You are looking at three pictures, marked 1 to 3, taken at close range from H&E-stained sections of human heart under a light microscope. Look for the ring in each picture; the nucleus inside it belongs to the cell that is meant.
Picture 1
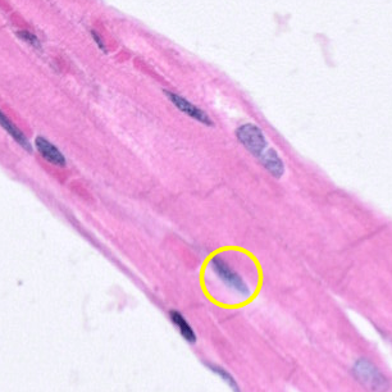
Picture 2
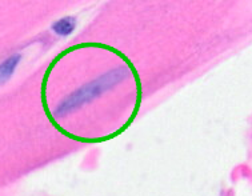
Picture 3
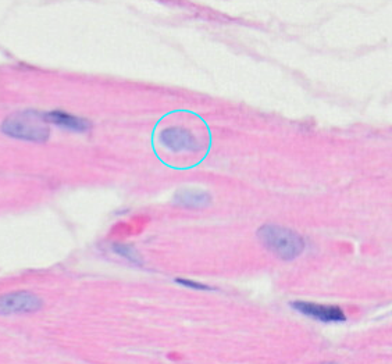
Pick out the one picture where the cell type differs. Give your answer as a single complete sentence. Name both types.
All pictures except 1 show cardiomyocytes; picture 1 shows a fibroblast.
